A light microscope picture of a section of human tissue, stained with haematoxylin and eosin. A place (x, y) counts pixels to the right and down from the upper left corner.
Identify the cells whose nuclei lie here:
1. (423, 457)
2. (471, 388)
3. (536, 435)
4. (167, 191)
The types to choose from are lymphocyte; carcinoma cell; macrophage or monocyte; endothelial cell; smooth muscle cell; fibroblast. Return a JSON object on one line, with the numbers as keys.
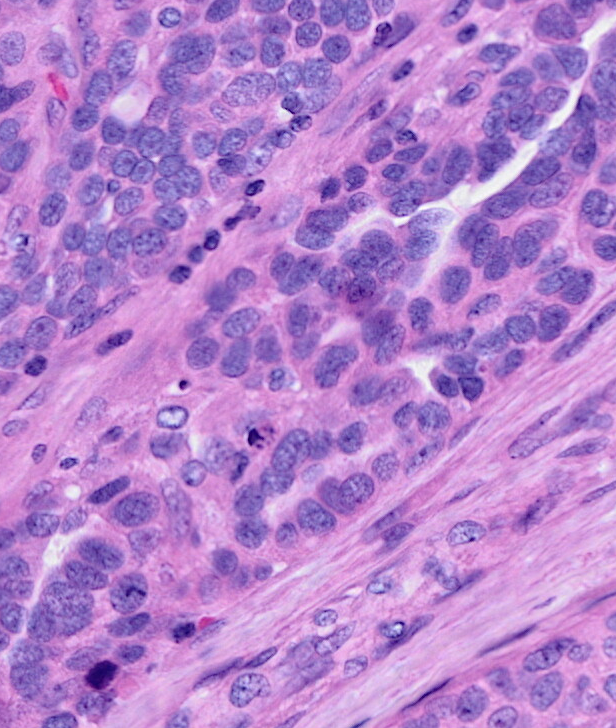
{"1": "fibroblast", "2": "carcinoma cell", "3": "fibroblast", "4": "carcinoma cell"}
